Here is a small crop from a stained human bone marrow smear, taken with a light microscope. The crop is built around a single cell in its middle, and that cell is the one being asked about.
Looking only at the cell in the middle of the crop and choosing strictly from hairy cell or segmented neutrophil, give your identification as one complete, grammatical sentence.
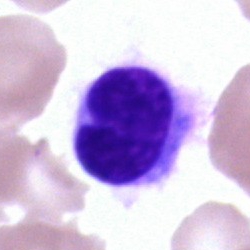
The cell found in the middle of this crop is a hairy cell.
